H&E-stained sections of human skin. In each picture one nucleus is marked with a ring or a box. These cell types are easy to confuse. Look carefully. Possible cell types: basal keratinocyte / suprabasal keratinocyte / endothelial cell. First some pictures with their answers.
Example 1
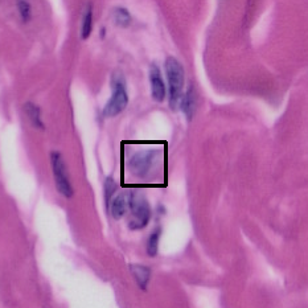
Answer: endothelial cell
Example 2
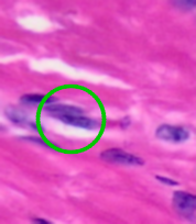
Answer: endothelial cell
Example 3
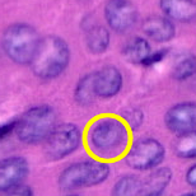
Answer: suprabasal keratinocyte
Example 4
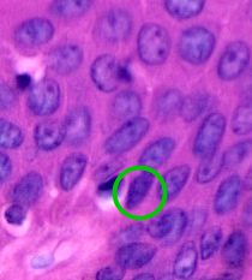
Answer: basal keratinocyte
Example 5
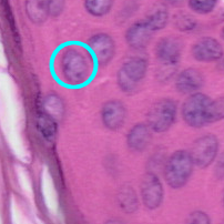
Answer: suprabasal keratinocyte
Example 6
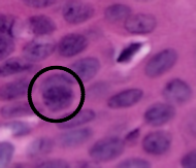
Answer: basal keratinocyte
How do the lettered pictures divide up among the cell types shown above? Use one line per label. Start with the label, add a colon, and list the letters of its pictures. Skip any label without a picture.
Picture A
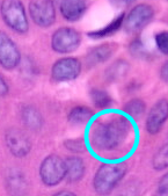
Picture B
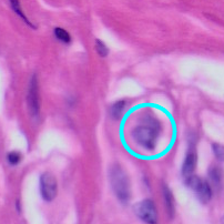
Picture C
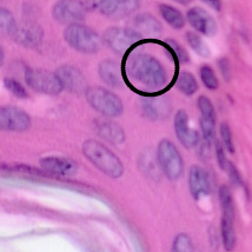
basal keratinocyte: A, C
endothelial cell: B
